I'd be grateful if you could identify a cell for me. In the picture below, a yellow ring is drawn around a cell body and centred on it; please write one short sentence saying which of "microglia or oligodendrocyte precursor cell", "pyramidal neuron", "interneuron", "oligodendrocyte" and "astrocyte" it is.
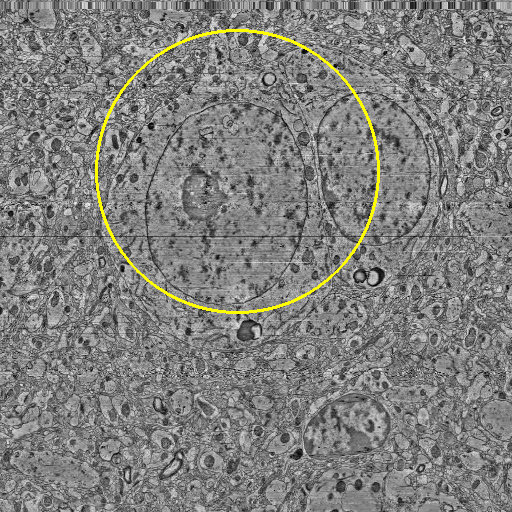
The cell under the ring's centre is a pyramidal neuron.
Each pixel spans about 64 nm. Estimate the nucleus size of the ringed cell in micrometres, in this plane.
In this plane the nucleus spans approximately 14 by 11 micrometers.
